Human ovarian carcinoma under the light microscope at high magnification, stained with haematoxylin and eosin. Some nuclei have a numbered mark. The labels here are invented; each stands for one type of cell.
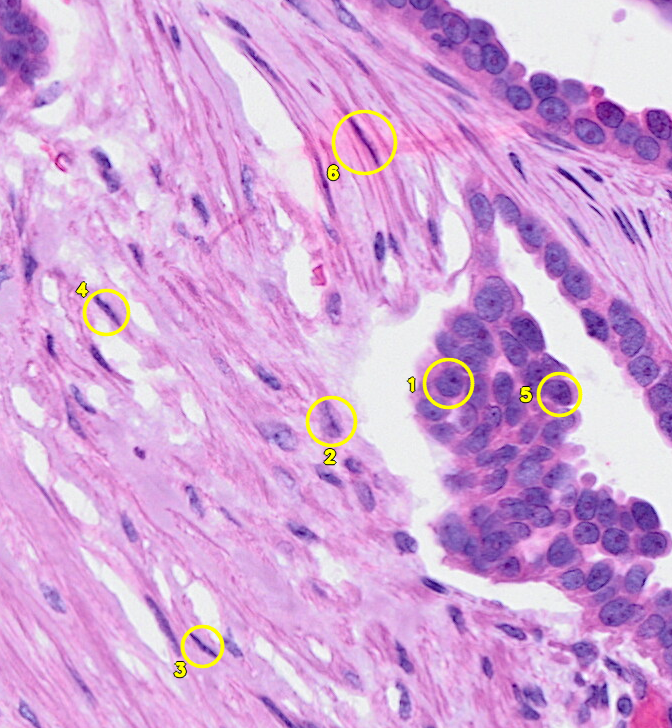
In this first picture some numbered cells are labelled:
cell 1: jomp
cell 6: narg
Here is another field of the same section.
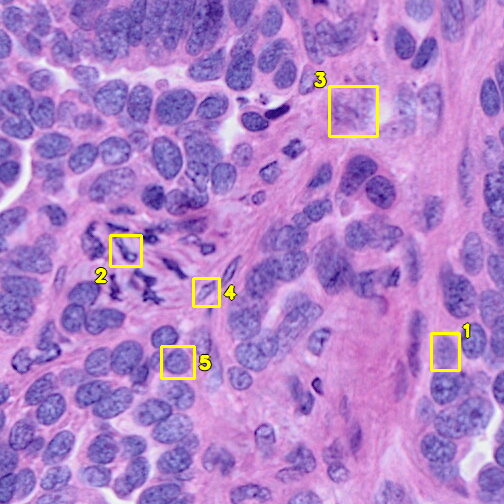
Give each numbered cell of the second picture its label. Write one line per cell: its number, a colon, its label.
1: jomp
2: narg
3: narg
4: narg
5: jomp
